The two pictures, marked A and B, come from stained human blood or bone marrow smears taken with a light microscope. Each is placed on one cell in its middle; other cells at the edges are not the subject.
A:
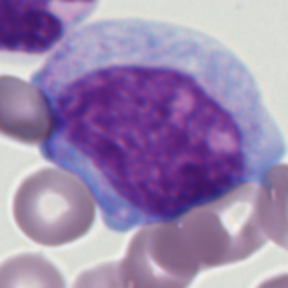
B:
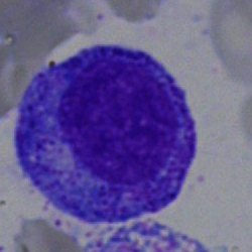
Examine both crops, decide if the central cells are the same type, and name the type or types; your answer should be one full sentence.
Yes, the centred cells are promyelocytes in both crops.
